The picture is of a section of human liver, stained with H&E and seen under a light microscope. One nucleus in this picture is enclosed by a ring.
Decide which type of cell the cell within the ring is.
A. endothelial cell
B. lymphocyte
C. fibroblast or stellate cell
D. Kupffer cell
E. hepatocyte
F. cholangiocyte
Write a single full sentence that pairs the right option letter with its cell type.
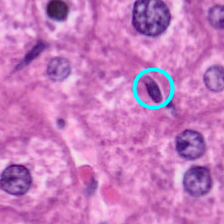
Here the cell within the ring is a lymphocyte, which makes option B correct.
